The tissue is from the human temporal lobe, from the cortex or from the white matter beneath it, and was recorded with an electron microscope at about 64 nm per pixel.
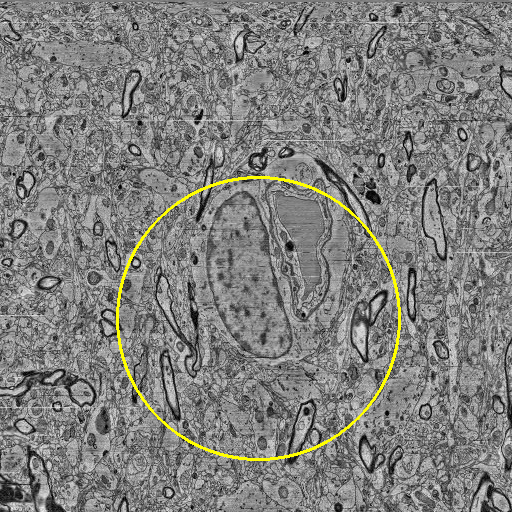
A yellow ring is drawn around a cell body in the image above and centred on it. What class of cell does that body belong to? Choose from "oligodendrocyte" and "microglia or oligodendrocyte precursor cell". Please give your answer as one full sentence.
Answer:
The yellow ring above is centred on the cell body of a microglial cell or oligodendrocyte precursor cell.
